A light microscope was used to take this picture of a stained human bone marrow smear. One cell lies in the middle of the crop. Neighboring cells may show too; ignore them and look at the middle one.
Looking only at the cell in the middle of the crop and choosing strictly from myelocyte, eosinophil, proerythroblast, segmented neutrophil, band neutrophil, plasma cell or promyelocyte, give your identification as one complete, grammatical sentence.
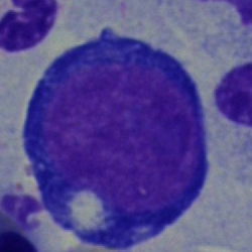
The central cell, amid any neighbouring cells, is a proerythroblast.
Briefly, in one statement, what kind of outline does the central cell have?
The contour of the cell is interrupted by ragged areas or by projections.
